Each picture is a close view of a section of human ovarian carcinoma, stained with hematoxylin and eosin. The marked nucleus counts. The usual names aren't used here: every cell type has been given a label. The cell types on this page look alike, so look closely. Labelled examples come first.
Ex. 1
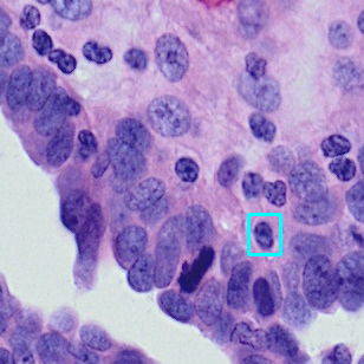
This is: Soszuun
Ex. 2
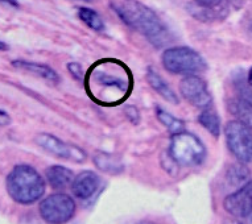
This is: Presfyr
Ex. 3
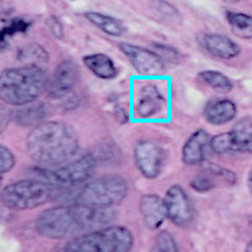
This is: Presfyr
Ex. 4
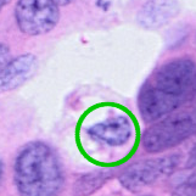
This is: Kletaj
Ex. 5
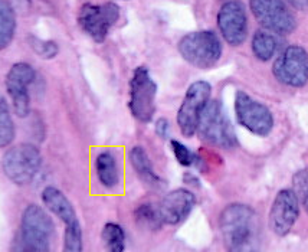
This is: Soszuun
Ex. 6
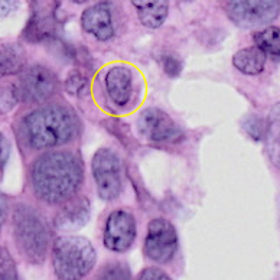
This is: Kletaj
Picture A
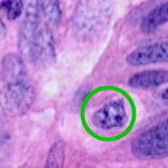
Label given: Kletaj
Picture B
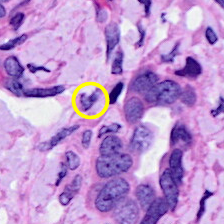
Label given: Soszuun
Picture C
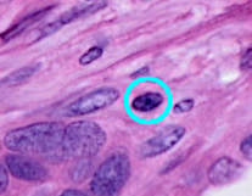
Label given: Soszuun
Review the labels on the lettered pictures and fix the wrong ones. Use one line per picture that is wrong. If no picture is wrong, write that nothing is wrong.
Wrong: B (Soszuun); correct: Presfyr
